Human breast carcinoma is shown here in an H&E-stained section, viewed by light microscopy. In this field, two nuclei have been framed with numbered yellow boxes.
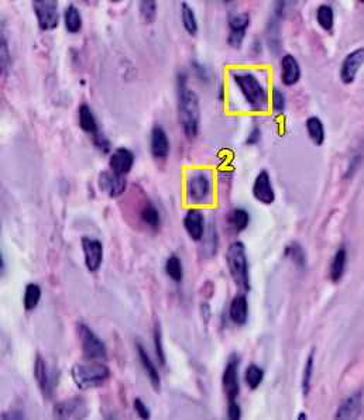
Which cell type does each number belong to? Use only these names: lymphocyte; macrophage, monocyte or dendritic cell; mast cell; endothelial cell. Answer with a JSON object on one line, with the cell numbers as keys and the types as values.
{"1": "lymphocyte", "2": "mast cell"}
